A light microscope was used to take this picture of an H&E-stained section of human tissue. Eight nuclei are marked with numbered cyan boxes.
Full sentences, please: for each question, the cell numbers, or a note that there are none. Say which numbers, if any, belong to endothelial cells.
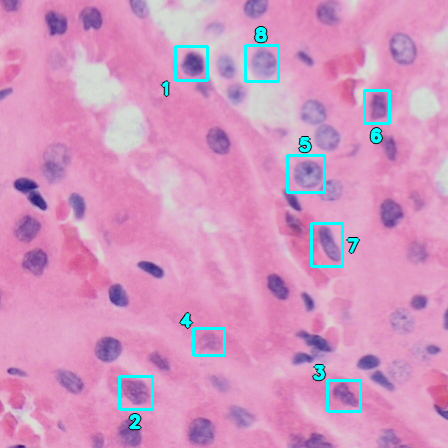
Cell 7 represents an endothelial cell, and no other numbered cell does.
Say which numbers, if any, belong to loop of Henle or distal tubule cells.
Cells that were given the numbers 1, 5 and 8 are loop of Henle or distal tubule cells.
